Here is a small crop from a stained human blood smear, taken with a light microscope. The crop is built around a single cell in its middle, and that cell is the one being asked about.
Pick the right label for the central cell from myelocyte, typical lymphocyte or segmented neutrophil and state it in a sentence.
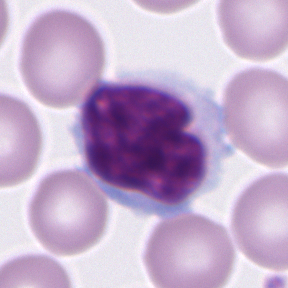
The cell nearest the centre of this crop is a typical lymphocyte.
